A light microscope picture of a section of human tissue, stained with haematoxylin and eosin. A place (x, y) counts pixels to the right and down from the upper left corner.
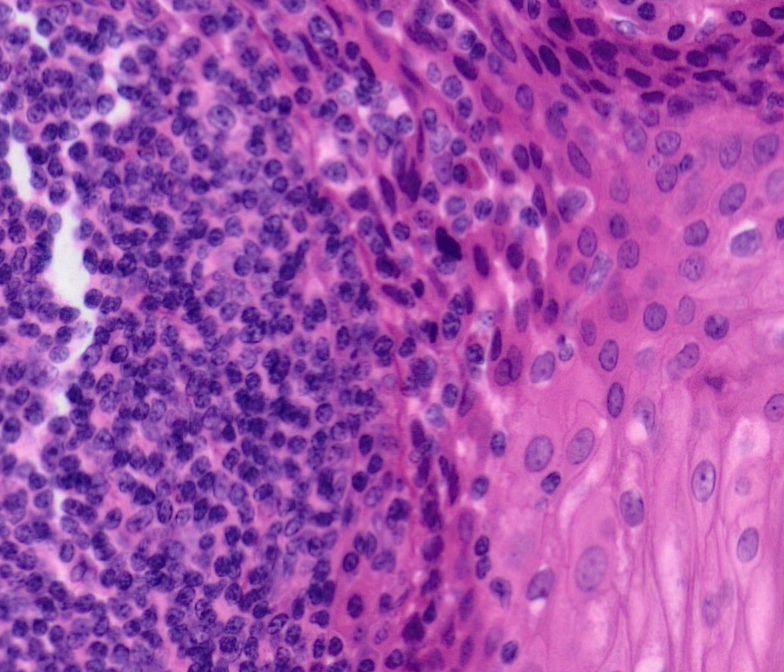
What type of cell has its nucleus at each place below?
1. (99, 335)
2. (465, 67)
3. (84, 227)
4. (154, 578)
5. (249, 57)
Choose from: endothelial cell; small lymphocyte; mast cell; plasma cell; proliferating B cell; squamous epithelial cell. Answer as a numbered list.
1. small lymphocyte
2. squamous epithelial cell
3. small lymphocyte
4. small lymphocyte
5. plasma cell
